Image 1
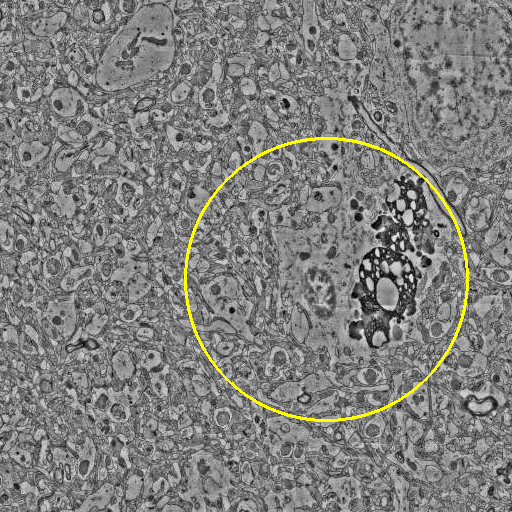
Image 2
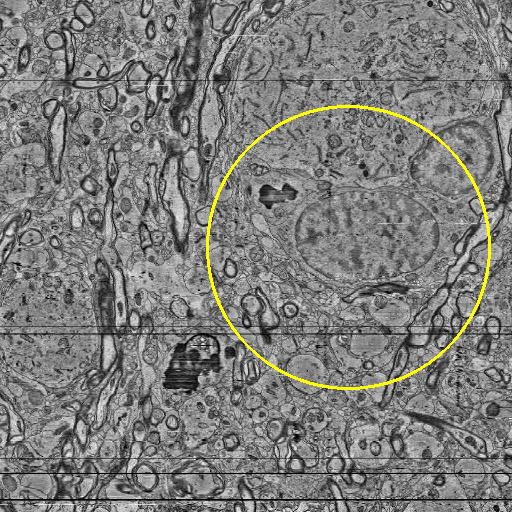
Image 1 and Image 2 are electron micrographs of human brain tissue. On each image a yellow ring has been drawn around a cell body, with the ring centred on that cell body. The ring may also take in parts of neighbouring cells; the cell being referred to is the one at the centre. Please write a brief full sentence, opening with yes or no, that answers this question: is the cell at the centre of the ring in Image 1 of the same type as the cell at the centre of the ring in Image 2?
No, the two cells are of two types.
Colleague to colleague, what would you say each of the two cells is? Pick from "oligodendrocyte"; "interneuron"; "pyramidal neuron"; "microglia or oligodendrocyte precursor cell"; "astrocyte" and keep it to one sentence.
The cell in the first picture is an astrocyte; the second picture's cell is an oligodendrocyte.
